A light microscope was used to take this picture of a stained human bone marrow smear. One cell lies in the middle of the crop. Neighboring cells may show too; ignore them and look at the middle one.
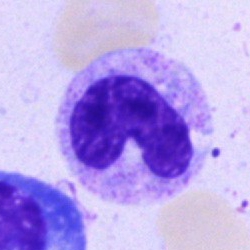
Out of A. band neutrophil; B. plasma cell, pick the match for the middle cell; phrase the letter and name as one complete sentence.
Well, the cell in the middle is a band neutrophil, making option A right.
